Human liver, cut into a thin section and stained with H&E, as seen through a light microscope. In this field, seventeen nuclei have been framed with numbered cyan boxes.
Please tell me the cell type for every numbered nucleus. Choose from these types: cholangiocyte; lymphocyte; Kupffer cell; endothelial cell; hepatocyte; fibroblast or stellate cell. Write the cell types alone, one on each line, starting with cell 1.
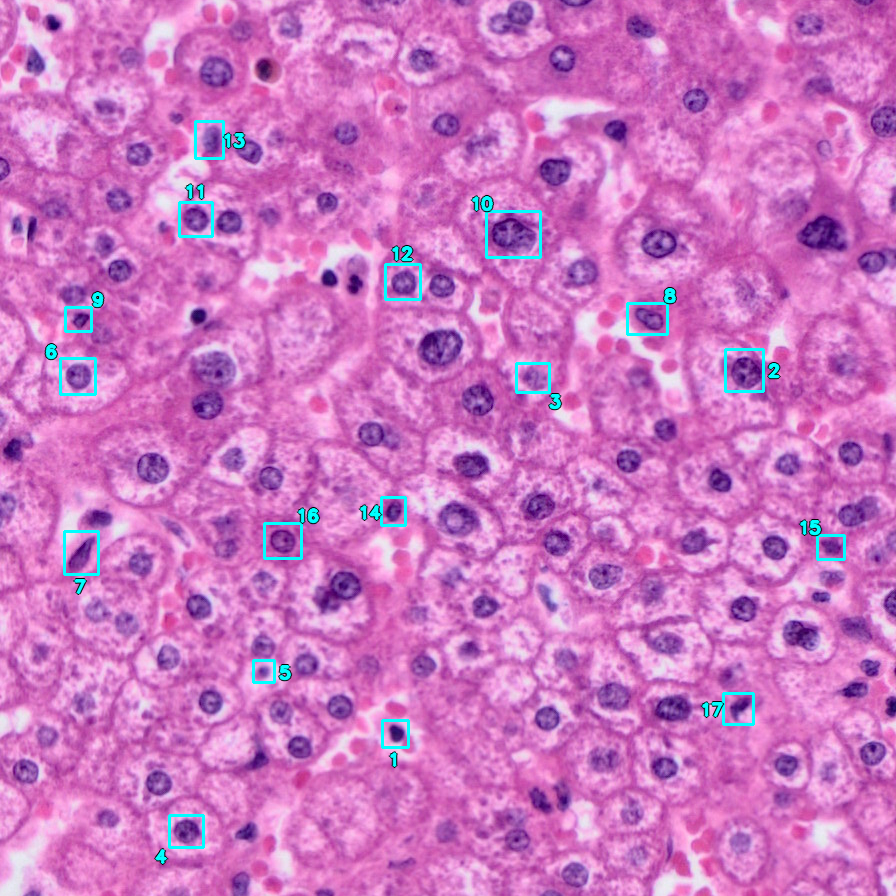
lymphocyte
hepatocyte
hepatocyte
hepatocyte
lymphocyte
hepatocyte
Kupffer cell
Kupffer cell
fibroblast or stellate cell
hepatocyte
hepatocyte
hepatocyte
endothelial cell
fibroblast or stellate cell
fibroblast or stellate cell
hepatocyte
endothelial cell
